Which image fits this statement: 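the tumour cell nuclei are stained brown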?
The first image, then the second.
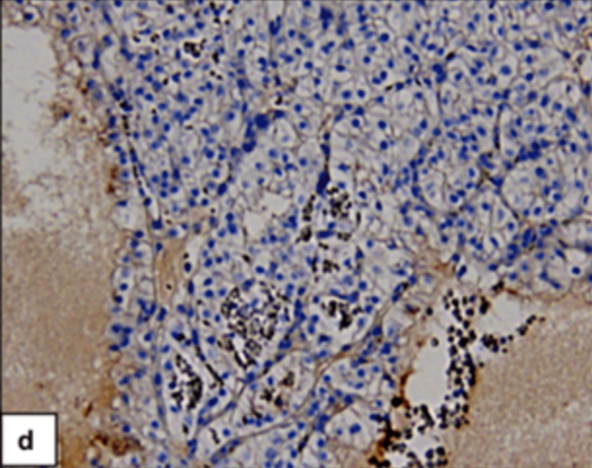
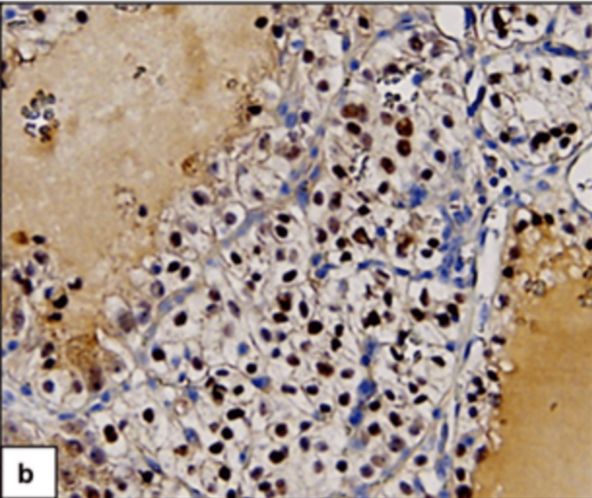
The second image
